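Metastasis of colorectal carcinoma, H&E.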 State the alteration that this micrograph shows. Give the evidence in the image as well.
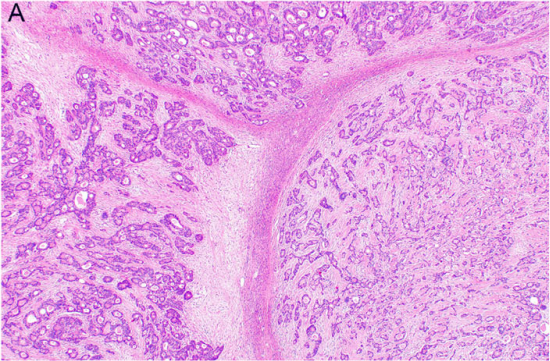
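Nodular arrangement. Tumour glands are grouped into large rounded nodules. Pink fibrous bands separate the nodules.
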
